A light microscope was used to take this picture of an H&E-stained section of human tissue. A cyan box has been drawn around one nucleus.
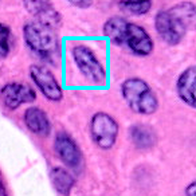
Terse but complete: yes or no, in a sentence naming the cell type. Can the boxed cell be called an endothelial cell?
No; the boxed cell should be labelled a squamous carcinoma cell rather than an endothelial cell.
